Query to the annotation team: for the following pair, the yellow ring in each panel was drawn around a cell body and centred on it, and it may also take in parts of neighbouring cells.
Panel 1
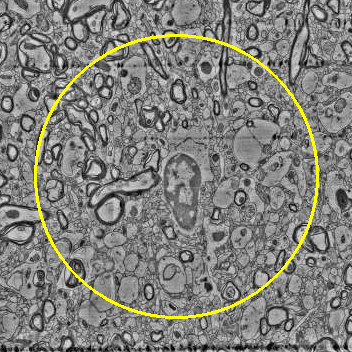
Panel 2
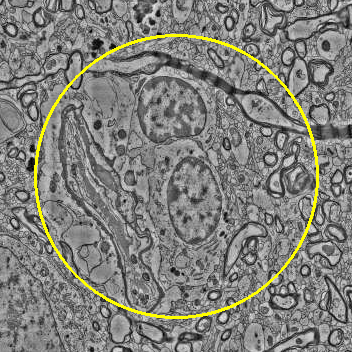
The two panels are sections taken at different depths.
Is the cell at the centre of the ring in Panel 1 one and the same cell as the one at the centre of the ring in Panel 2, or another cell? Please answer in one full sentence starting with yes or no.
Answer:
No, each of the two rings holds a different cell.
